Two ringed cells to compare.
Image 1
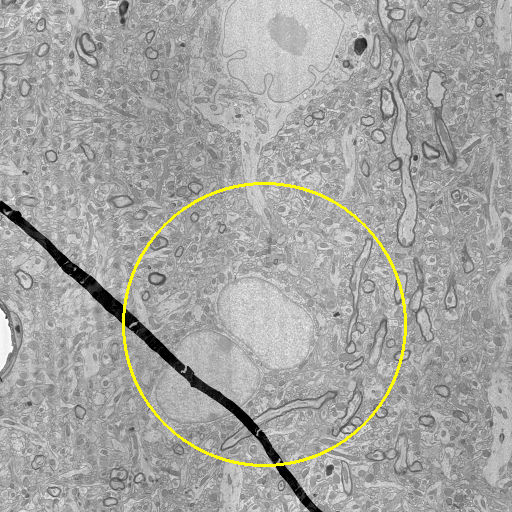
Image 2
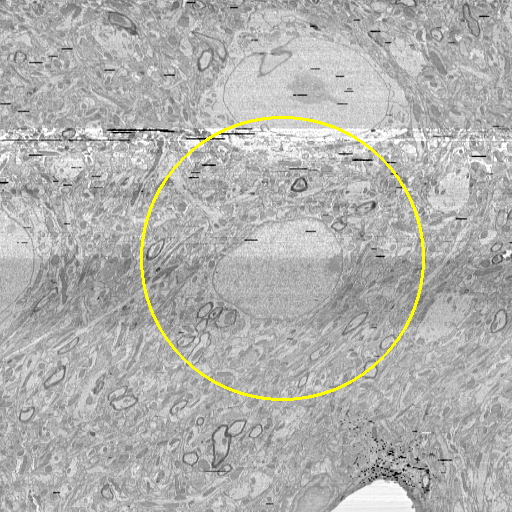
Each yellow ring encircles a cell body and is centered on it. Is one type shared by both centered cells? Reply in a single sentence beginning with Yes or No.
Yes, a single type is shared by the two cells at the centers of the rings.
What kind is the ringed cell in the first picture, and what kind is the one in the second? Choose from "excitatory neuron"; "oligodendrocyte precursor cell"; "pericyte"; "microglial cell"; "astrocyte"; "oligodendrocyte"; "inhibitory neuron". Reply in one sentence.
Each cell at the centre of a ring is an astrocyte.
